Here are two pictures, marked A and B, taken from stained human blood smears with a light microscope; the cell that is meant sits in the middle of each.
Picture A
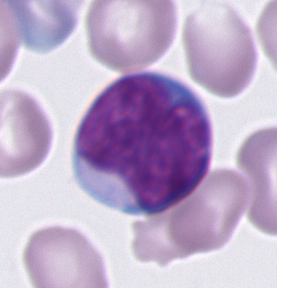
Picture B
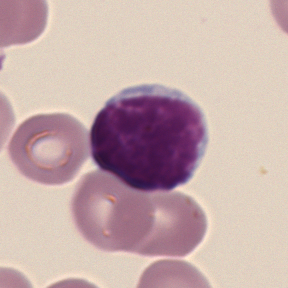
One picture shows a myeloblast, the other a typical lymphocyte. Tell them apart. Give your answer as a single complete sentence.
Picture A is of a myeloblast, and picture B is of a typical lymphocyte.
